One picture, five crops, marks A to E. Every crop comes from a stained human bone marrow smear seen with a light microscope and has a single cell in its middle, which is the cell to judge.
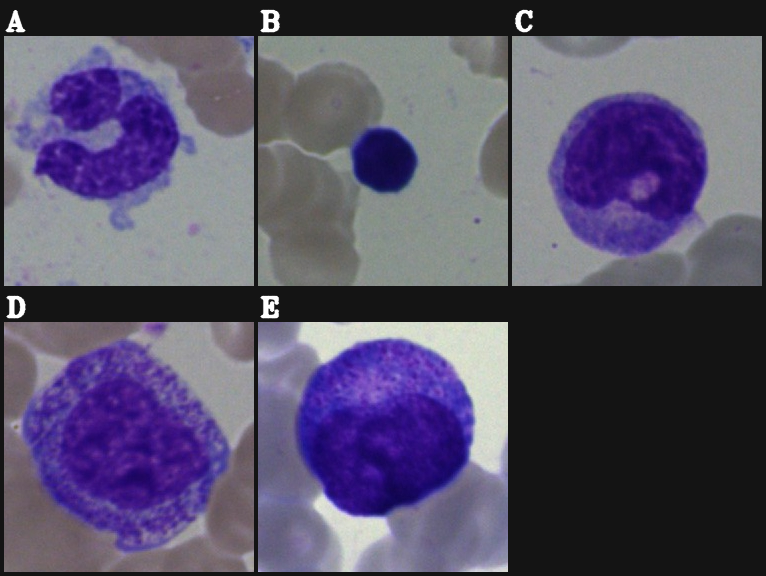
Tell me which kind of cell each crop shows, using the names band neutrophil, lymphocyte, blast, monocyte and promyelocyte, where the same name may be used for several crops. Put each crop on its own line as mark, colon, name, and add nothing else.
A: monocyte
B: lymphocyte
C: monocyte
D: promyelocyte
E: promyelocyte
